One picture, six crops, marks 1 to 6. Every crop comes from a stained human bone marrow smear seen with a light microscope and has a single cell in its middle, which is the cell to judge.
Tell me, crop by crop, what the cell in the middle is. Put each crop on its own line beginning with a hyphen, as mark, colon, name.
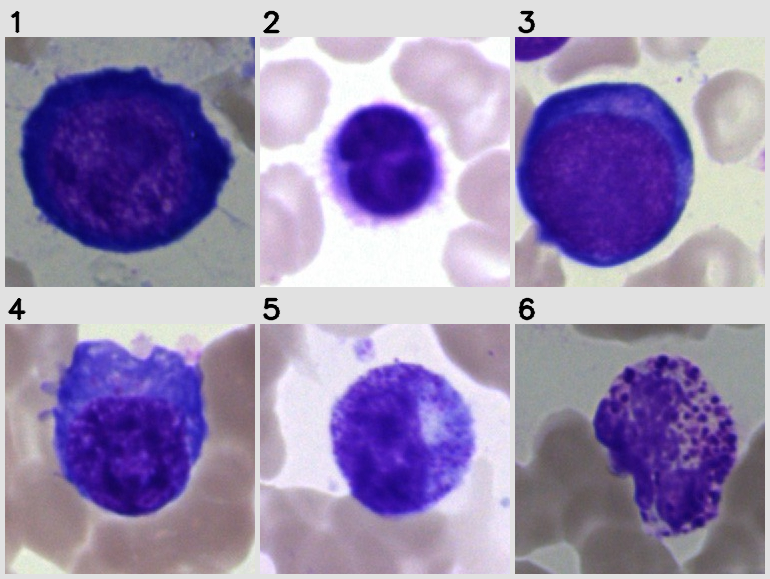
- 1: proerythroblast
- 2: hairy cell
- 3: proerythroblast
- 4: plasma cell
- 5: promyelocyte
- 6: basophil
